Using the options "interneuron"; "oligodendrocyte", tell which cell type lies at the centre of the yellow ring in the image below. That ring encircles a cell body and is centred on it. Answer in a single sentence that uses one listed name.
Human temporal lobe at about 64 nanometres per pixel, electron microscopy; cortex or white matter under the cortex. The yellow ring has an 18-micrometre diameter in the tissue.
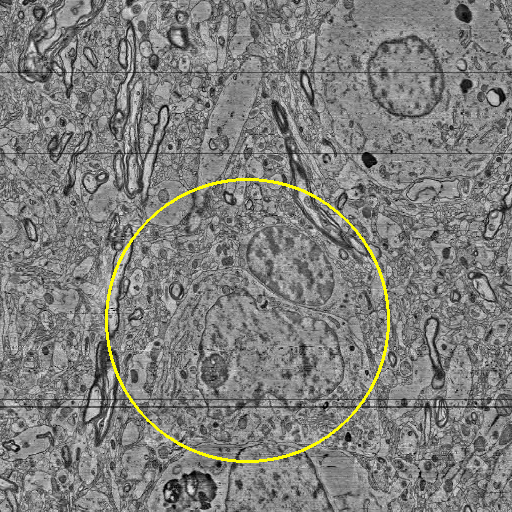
At the centre of the yellow ring lies the body of an interneuron.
